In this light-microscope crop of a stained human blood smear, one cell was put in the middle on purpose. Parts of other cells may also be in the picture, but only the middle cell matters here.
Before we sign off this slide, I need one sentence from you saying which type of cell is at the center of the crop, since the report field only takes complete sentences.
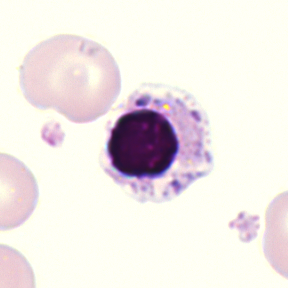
Of the cells in this crop, the central one is a normoblast.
